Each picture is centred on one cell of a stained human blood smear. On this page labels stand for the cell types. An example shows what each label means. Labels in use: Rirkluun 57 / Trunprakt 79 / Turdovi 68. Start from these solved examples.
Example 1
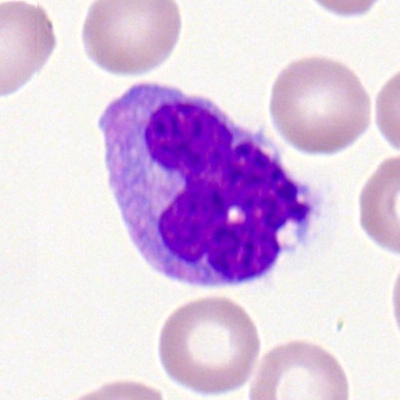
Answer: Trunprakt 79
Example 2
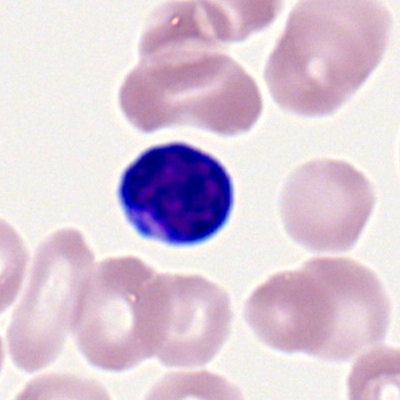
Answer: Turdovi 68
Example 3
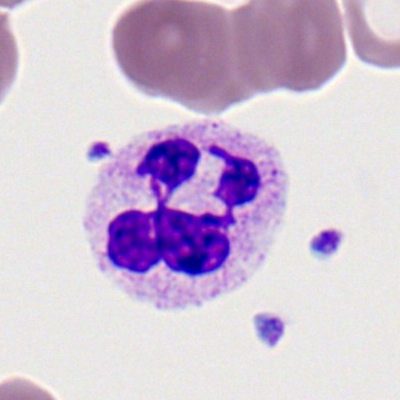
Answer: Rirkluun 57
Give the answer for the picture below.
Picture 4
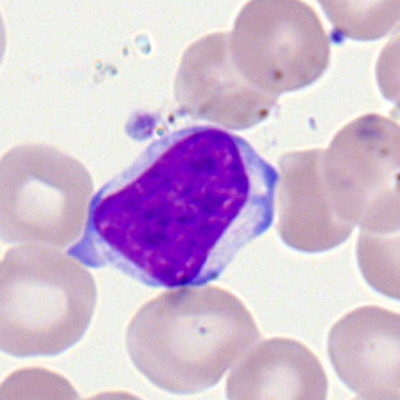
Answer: Turdovi 68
